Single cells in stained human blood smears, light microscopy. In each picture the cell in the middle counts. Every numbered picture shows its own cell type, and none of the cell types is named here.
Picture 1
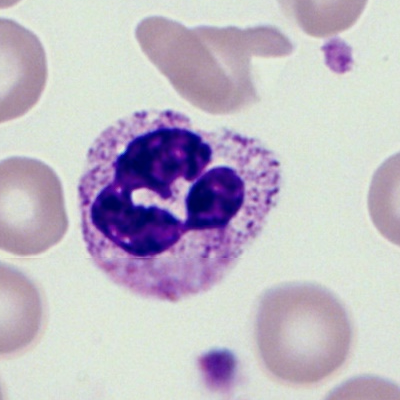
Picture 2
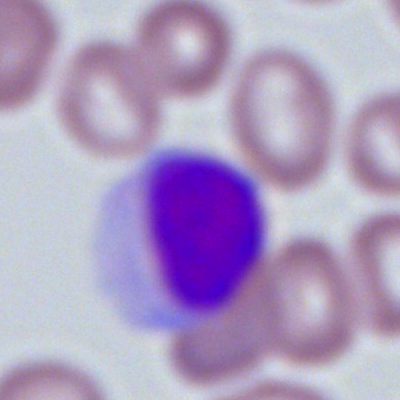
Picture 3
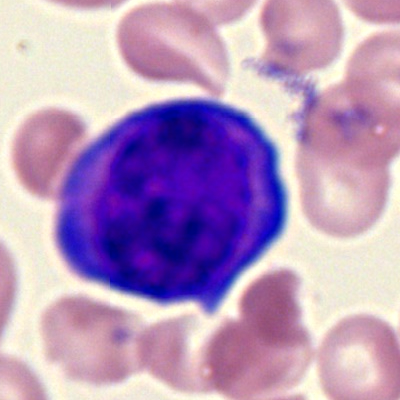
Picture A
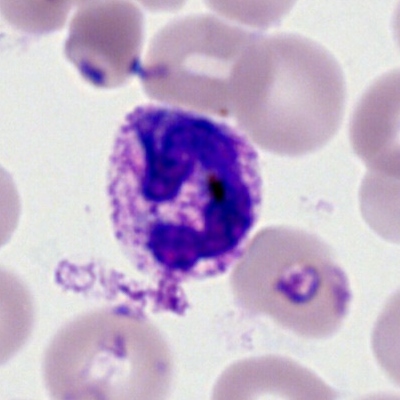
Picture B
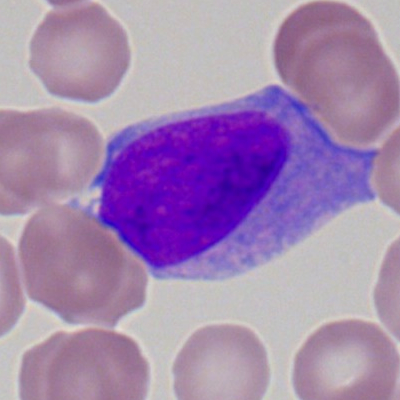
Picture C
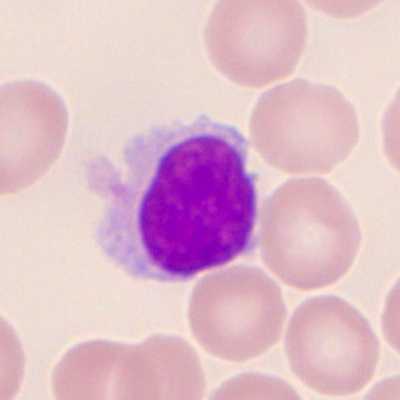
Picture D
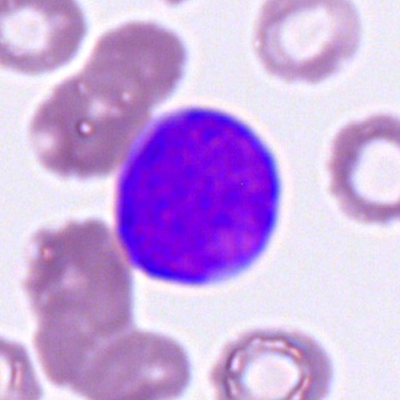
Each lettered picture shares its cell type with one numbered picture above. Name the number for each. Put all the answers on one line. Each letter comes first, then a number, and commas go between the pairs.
A 1, B 3, C 2, D 3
